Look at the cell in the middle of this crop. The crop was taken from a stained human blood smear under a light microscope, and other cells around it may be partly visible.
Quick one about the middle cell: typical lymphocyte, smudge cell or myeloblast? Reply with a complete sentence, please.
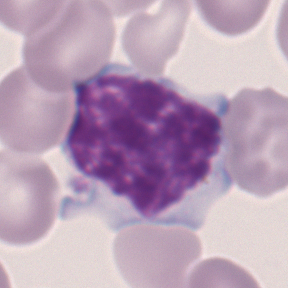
This crop is built around a typical lymphocyte at its centre.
